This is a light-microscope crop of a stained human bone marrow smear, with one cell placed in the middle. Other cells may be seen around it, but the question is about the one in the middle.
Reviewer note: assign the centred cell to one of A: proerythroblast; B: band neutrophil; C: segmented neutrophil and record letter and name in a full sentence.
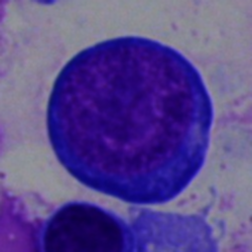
Option A is correct in naming the middle cell a proerythroblast.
